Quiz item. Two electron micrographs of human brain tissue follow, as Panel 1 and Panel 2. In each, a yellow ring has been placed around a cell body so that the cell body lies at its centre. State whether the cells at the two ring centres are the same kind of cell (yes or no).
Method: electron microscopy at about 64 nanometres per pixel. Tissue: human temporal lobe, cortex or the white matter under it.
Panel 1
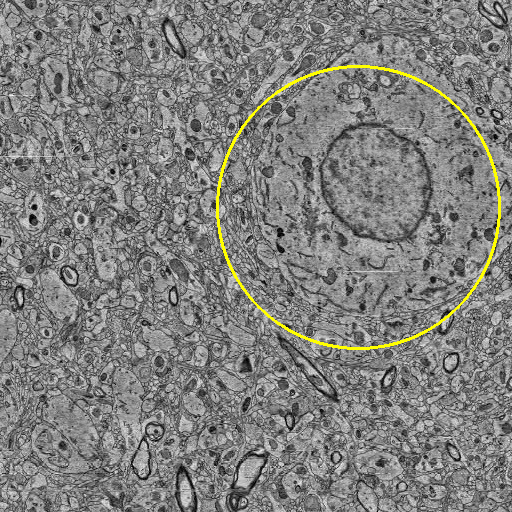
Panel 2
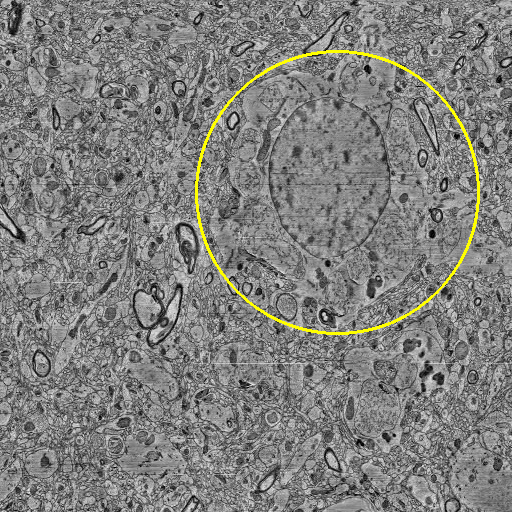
no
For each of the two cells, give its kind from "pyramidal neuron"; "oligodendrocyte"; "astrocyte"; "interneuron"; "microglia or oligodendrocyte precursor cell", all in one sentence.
The first picture has a pyramidal neuron in its ring, the second has an astrocyte.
